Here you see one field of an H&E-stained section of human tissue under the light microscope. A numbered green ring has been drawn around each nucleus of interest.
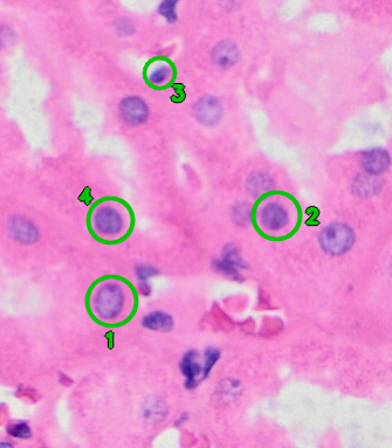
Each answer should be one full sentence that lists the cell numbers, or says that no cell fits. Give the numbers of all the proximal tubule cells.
The cells given the numbers 1, 2 and 4 are proximal tubule cells.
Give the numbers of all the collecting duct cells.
Numbered cell by numbered cell, the tally of collecting duct cells stays at zero.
